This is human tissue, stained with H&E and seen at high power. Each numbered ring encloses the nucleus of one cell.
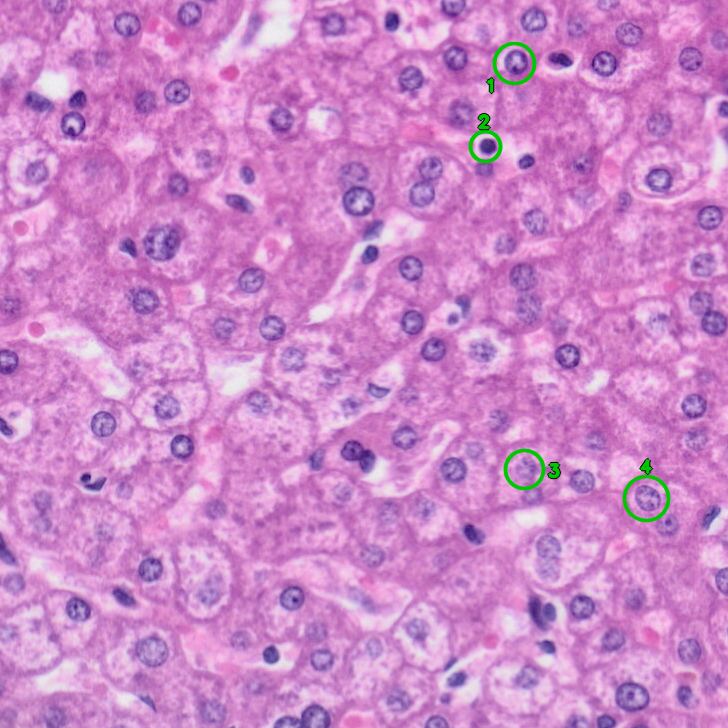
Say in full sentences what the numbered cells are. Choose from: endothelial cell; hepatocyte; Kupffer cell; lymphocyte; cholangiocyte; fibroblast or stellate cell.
Cells 1, 3 and 4 are hepatocytes. Cell 2 is a lymphocyte.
